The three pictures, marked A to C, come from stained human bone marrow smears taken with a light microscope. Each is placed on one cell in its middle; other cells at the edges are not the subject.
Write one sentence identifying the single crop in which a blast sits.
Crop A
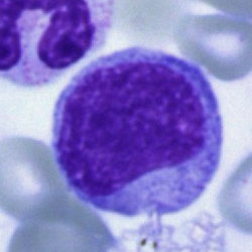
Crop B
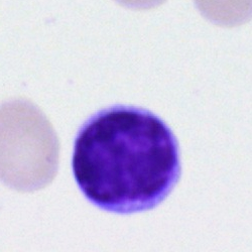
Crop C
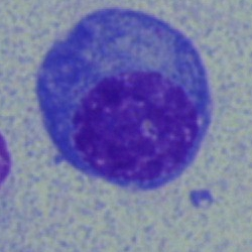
Crop A is the crop whose central cell is a blast.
